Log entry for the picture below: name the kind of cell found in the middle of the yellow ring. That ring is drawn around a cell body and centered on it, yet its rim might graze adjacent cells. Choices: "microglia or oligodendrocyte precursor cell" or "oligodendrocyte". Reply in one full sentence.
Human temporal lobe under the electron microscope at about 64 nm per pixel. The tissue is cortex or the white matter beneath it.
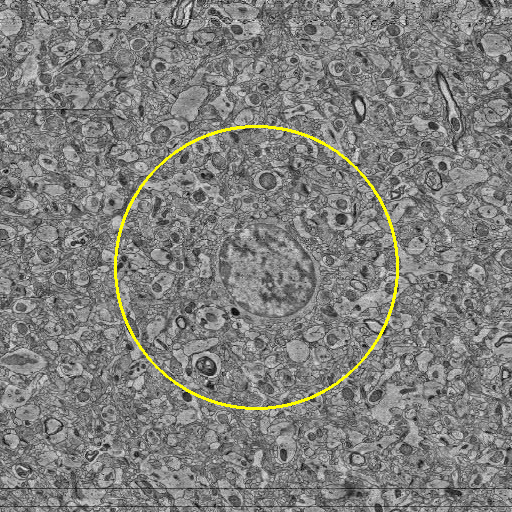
The cell in the middle of the yellow ring in this picture is an oligodendrocyte.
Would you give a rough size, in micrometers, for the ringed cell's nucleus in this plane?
The nucleus comes to roughly 7 by 6 micrometres in this plane.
